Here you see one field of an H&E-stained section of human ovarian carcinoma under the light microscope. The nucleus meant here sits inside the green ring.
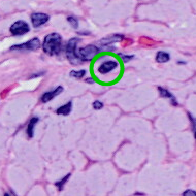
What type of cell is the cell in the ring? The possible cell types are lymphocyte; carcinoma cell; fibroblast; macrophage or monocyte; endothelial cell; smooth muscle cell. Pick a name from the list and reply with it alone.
lymphocyte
